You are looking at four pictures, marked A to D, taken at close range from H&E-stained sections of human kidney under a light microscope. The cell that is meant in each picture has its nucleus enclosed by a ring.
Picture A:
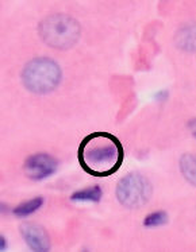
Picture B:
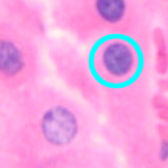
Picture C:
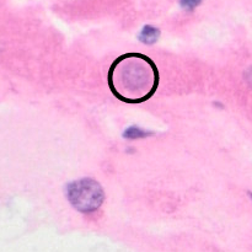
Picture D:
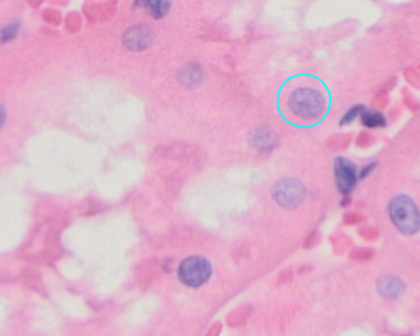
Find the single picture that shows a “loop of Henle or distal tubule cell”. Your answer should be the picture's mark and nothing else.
A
